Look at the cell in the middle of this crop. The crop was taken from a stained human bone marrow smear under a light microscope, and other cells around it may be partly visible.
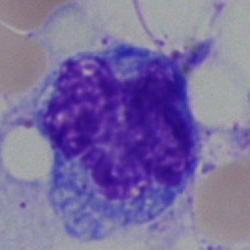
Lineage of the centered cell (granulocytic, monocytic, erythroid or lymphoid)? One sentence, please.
The middle cell should be classed under the monocytic lineage.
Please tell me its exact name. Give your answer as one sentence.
The cell around which this crop is centred is a monocyte.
